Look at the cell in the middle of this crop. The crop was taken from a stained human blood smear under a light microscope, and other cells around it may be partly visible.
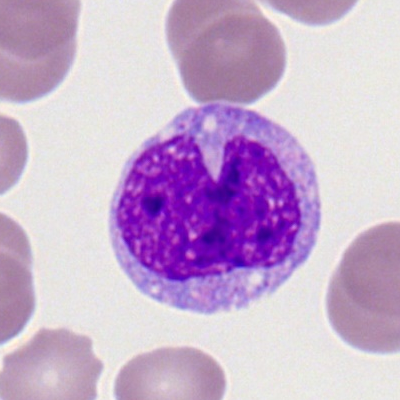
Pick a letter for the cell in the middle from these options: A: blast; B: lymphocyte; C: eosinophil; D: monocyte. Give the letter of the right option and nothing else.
D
